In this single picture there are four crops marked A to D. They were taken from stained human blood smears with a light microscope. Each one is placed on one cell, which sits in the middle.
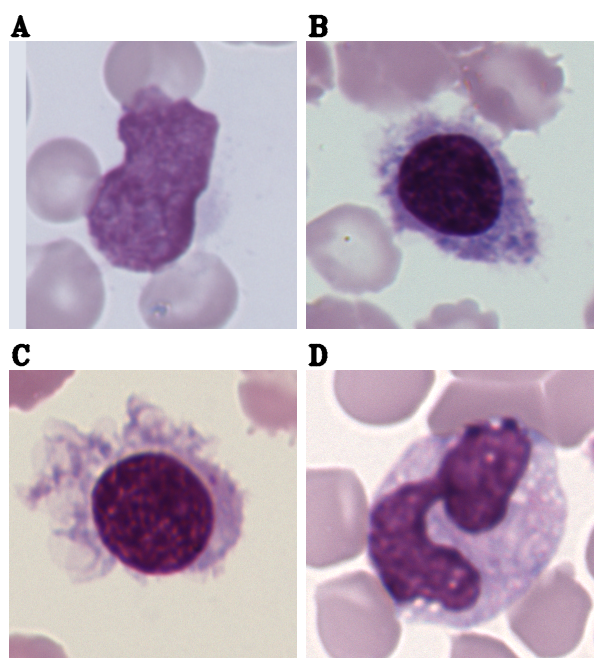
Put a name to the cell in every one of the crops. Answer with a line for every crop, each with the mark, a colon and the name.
A: smudge cell
B: hairy cell
C: hairy cell
D: monocyte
